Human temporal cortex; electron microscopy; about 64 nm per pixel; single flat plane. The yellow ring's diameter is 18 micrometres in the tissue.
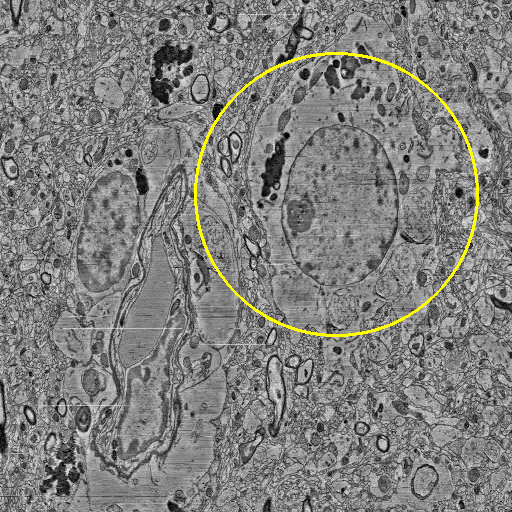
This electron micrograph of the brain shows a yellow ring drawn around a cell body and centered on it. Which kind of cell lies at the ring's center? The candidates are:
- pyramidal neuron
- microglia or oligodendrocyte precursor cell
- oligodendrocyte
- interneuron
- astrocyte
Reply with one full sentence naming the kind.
The cell lying at the ring's center in this micrograph is an astrocyte.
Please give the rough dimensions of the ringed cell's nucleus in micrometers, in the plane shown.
About 11 micrometres by about 8 micrometres in this plane.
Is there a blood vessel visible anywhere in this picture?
Yes, a blood vessel can be seen.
